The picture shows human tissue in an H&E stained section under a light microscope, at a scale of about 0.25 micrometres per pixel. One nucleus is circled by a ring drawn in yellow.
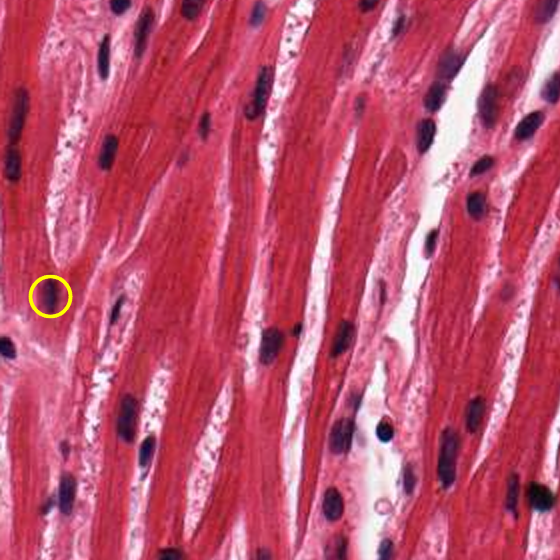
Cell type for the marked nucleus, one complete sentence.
The cell containing the marked nucleus is a cardiomyocyte.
